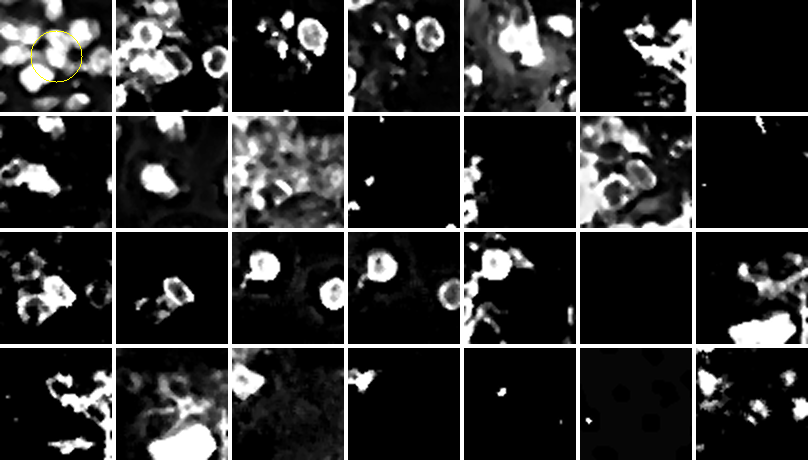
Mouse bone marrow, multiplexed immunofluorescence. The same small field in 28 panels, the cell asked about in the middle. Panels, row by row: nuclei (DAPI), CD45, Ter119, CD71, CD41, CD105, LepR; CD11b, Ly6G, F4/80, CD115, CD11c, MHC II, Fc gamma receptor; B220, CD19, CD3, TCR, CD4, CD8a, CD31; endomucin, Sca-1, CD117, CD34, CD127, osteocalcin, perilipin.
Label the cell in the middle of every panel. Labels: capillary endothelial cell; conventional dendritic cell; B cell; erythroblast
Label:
B cell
